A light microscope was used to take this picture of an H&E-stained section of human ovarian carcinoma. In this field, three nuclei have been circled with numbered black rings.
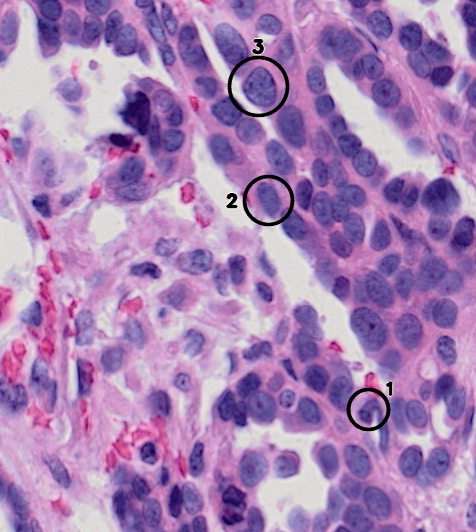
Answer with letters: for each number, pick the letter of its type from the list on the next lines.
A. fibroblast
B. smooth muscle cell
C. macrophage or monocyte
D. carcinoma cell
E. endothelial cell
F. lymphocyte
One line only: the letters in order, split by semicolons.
C; D; D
